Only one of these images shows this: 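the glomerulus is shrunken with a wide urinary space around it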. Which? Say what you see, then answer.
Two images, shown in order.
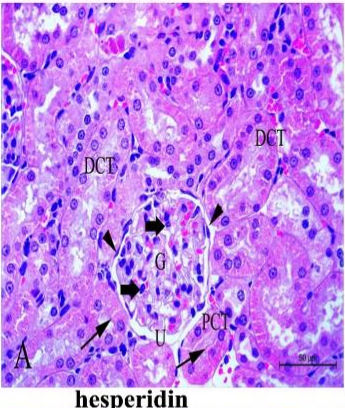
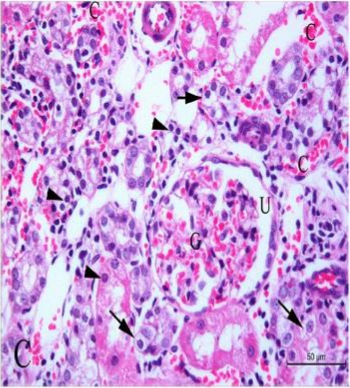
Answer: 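The second image. First image: the tuft nearly fills the capsule, leaving a narrow clear space.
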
